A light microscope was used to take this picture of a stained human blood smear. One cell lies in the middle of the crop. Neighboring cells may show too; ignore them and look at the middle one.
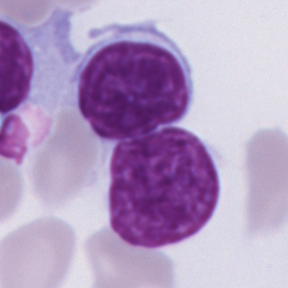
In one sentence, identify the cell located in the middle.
By classification, the middle cell of this crop is a myeloblast.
